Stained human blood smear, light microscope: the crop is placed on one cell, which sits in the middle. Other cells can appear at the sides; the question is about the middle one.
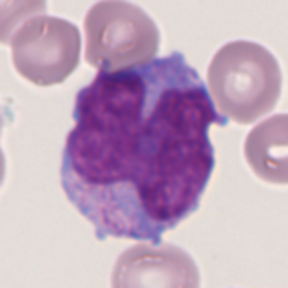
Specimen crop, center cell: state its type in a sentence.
The cell centred in this crop is categorized as an atypical promyelocyte.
